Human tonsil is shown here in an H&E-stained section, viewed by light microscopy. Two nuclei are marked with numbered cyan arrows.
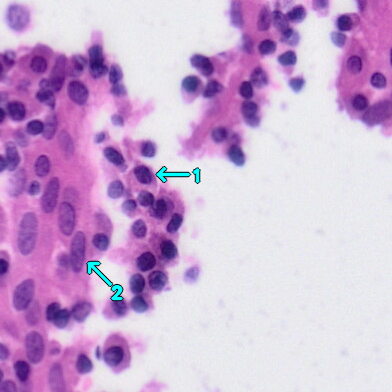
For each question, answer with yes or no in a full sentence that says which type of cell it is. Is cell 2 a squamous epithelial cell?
Yes, that is correct: the cell numbered 2 is a squamous epithelial cell.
